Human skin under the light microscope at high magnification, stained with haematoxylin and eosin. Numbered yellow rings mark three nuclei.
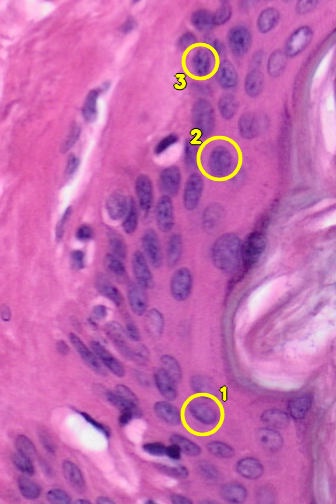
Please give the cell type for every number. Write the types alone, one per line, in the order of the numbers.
suprabasal keratinocyte
suprabasal keratinocyte
basal keratinocyte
